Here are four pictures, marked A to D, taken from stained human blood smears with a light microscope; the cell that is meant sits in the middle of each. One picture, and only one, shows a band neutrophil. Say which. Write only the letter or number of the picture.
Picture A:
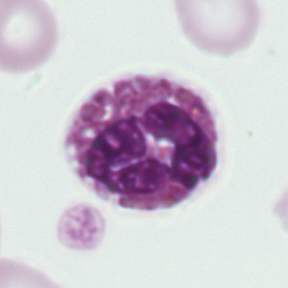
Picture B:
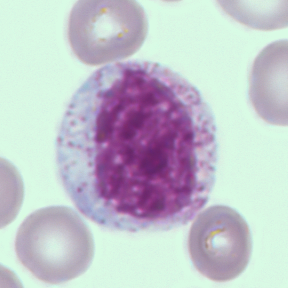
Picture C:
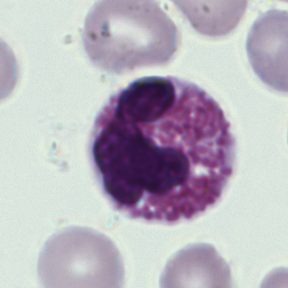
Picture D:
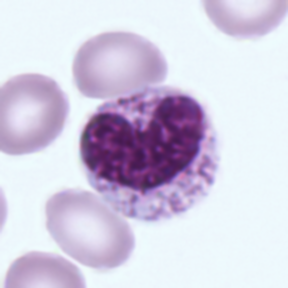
D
